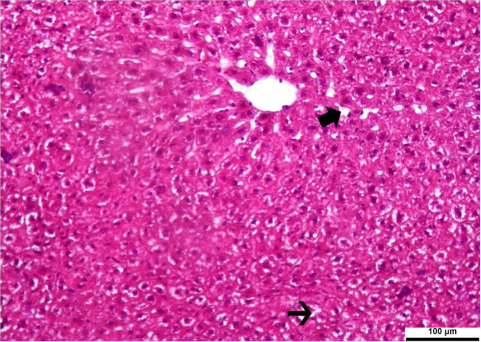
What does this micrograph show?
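Liver tissue in which many hepatocytes show degenerative changes, with pale, cleared areas in the cytoplasm around their purple nuclei. The cords are less regular than in normal liver and the staining is patchy, paler in some zones than others. A vessel lumen lies near the top, and some spaces between the cords around it are widened, consistent with sinusoidal dilatation.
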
